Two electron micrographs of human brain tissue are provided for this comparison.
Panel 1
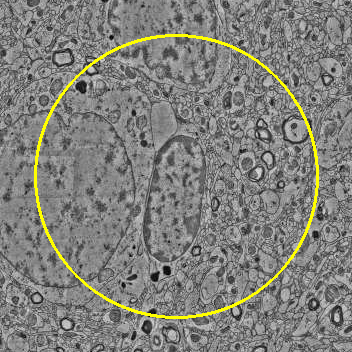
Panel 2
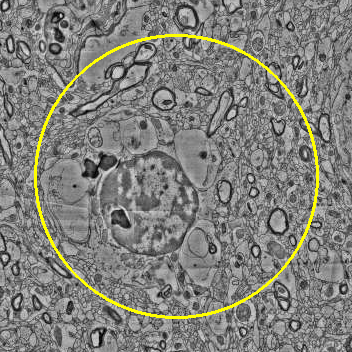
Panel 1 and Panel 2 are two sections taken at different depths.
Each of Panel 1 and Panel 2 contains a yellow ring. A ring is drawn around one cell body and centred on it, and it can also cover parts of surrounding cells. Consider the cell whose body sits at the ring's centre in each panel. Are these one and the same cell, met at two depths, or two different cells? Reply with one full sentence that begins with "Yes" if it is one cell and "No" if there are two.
No, each yellow ring marks its own cell.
